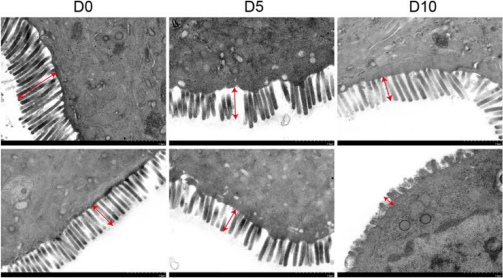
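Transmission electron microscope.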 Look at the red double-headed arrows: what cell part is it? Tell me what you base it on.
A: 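Microvilli. Dense rows of parallel finger-like projections stand on the free cell surface. The red double-headed arrows span the height of these projections.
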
